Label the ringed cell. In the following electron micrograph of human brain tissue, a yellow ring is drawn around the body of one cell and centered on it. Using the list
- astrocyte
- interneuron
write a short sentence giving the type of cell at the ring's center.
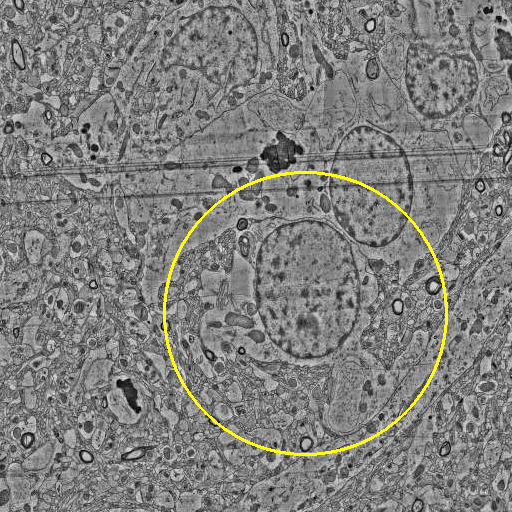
The cell body at the ring's center is that of an astrocyte.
